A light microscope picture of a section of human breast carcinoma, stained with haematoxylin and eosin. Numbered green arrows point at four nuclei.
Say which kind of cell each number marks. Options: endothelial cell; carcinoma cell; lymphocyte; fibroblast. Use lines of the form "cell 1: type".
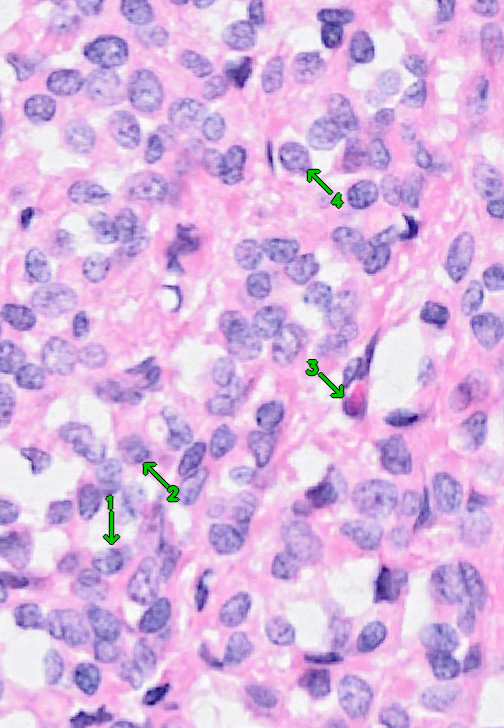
cell 1: carcinoma cell
cell 2: carcinoma cell
cell 3: endothelial cell
cell 4: carcinoma cell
